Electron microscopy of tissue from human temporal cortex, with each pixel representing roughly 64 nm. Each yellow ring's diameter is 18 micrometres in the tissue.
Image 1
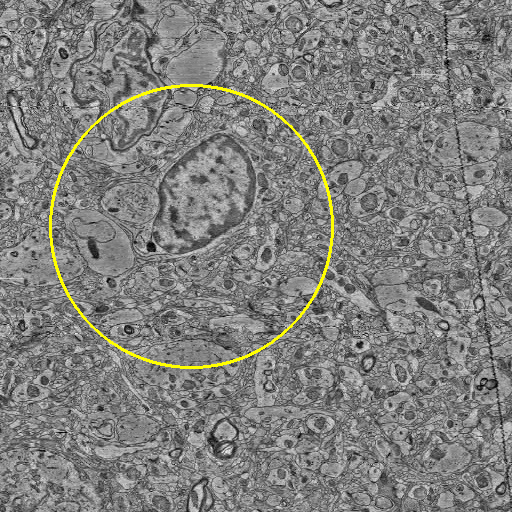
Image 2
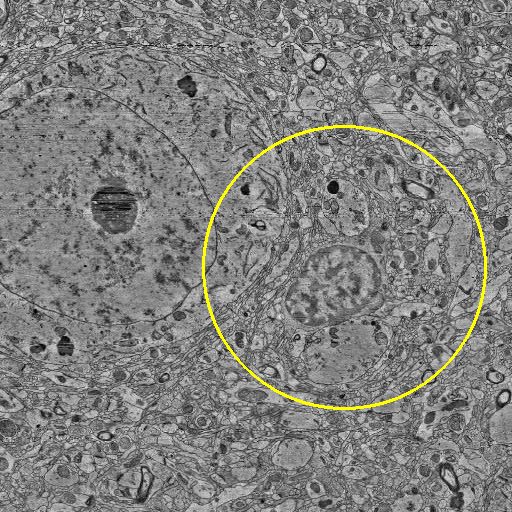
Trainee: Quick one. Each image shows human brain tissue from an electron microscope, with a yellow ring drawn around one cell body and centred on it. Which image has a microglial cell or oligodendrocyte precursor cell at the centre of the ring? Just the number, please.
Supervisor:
1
